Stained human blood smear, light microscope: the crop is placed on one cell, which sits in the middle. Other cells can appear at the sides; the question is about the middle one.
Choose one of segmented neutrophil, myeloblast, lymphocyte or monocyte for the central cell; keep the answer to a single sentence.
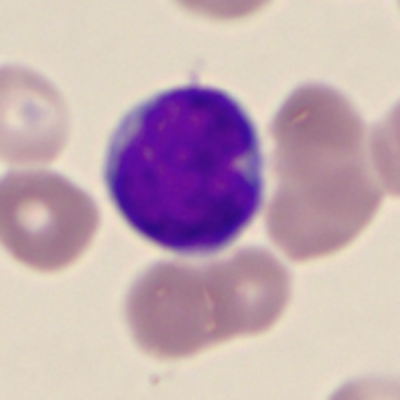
Centred in the crop is a myeloblast.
